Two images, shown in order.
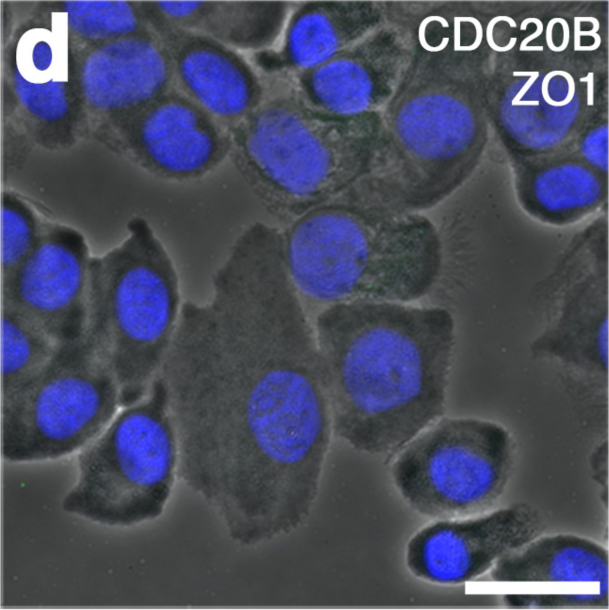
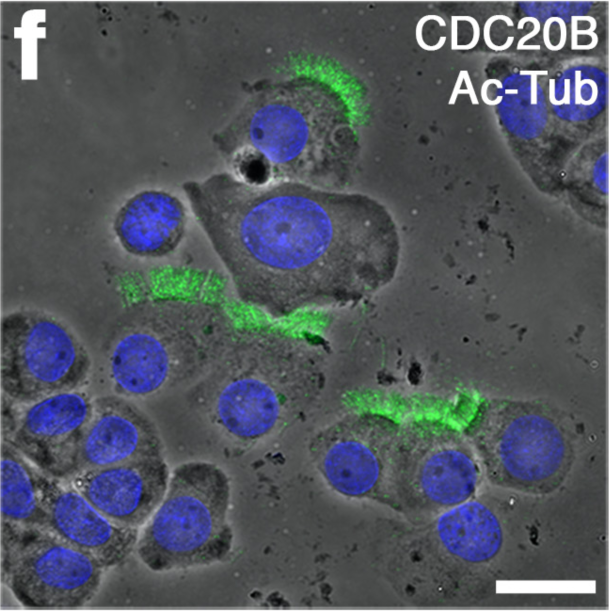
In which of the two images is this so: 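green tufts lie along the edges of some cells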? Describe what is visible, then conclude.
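Second image: bright green brush-like tufts along the edges of several cells. The answer: the second image.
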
